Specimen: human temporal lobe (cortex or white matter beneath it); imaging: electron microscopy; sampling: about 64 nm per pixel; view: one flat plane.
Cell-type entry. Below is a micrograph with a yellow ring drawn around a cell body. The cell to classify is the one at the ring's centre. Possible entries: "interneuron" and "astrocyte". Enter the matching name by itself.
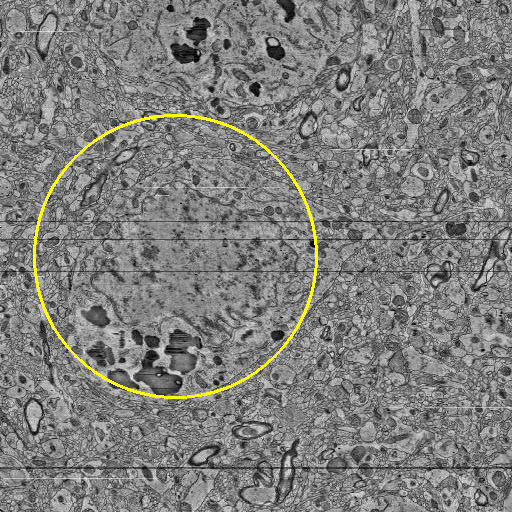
interneuron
